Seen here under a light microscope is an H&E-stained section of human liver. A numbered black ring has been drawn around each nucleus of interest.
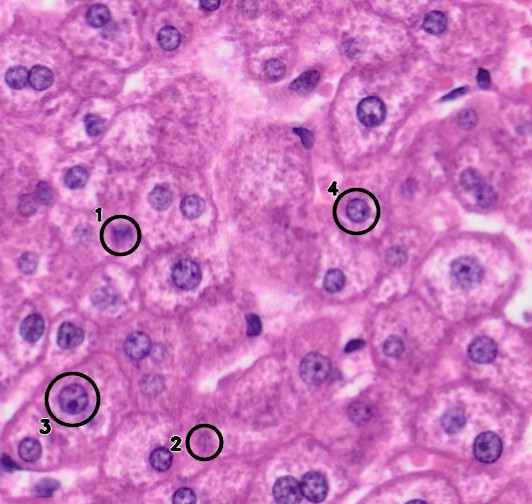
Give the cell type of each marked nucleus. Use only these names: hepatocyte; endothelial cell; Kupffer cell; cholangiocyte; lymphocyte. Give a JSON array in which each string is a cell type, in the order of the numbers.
["endothelial cell", "hepatocyte", "hepatocyte", "hepatocyte"]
